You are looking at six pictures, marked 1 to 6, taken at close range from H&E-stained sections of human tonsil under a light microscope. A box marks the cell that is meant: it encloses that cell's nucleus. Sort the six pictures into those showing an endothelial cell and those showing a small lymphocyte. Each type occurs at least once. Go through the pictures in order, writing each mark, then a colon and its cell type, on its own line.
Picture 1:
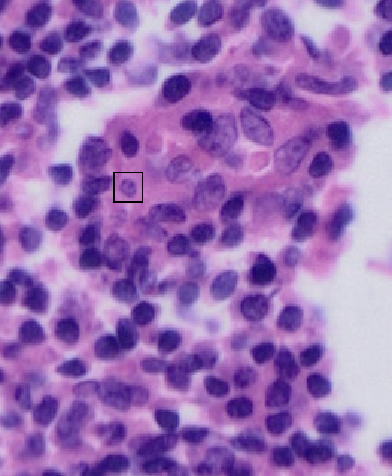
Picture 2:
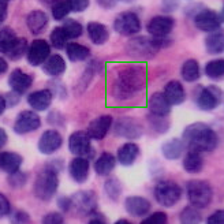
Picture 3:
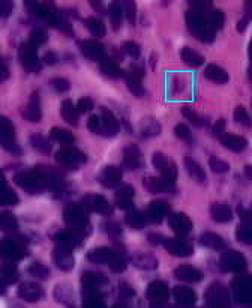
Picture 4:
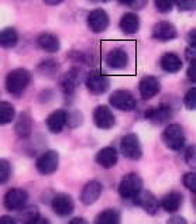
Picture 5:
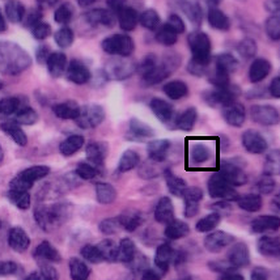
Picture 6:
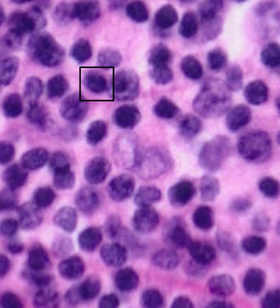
1: endothelial cell
2: endothelial cell
3: endothelial cell
4: small lymphocyte
5: small lymphocyte
6: small lymphocyte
